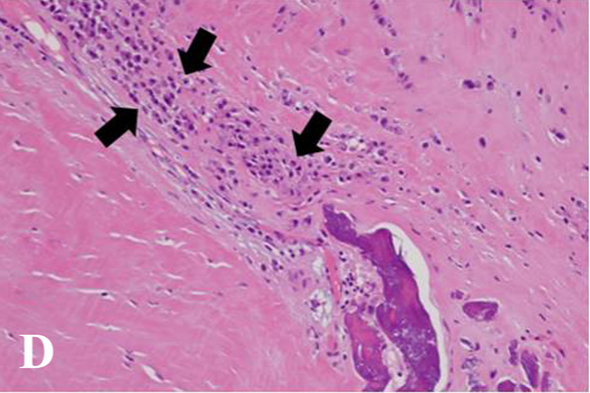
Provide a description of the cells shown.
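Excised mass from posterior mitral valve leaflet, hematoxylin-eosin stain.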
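The background is pink, collagen-rich, with sparse elongated spindle-shaped nuclei running in parallel. Through its middle runs a band crowded with small round cells carrying dark, compact nuclei and scant cytoplasm. Just below lies an irregular purple deposit of calcification, sitting in a cleft within the pink tissue, so the inflammatory cells are gathered right beside it.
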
